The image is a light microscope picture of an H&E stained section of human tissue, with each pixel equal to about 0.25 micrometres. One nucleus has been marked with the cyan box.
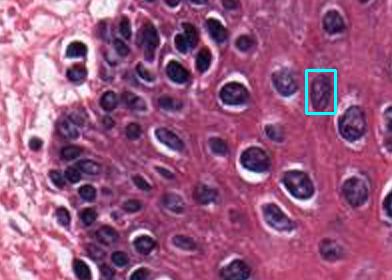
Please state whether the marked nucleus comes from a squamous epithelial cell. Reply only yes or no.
yes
